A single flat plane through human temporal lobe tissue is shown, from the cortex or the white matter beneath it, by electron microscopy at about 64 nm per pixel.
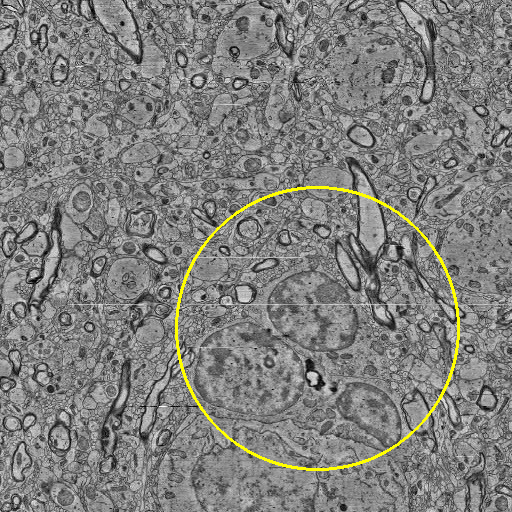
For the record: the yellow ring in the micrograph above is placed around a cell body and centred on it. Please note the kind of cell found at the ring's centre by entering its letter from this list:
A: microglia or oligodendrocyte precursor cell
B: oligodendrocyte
B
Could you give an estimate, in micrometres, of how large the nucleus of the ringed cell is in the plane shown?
In this plane, roughly 6 by 5 micrometres.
